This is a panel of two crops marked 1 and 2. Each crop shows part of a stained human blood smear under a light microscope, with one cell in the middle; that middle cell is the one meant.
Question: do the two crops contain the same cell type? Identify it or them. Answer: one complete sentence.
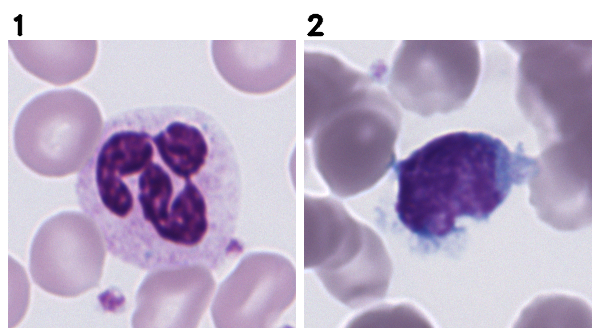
No, crop 1 is where a segmented neutrophil is shown, and crop 2 is where a monocyte is shown.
